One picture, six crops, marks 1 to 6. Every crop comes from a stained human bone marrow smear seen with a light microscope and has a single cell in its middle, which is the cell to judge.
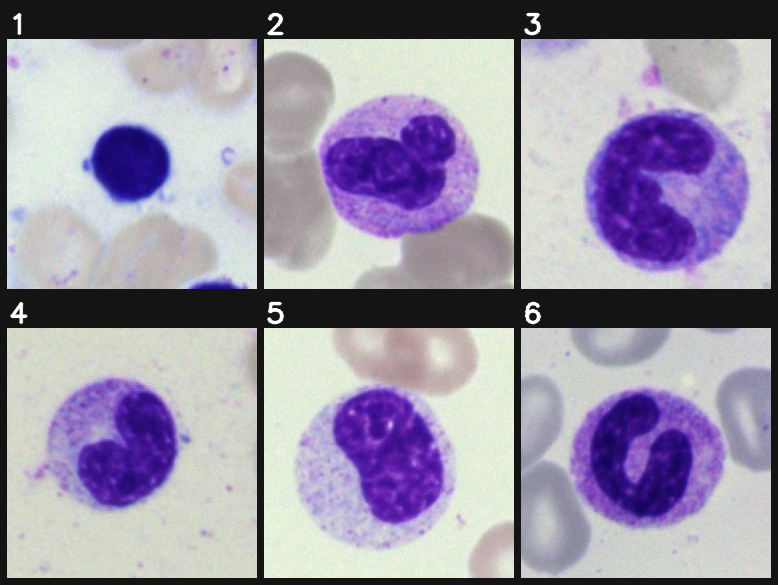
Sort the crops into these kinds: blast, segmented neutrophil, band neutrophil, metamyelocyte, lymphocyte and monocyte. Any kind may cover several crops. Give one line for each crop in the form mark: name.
1: lymphocyte
2: segmented neutrophil
3: monocyte
4: band neutrophil
5: metamyelocyte
6: band neutrophil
